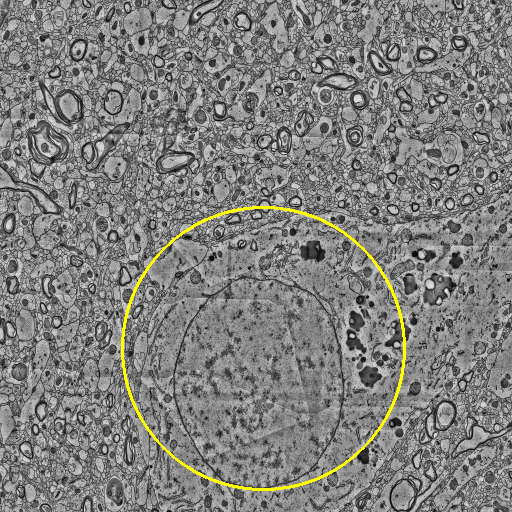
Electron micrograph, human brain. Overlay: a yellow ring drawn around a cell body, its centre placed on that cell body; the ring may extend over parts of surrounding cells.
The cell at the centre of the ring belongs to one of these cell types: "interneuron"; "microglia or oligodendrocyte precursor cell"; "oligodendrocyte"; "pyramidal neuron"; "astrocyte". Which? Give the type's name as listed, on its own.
pyramidal neuron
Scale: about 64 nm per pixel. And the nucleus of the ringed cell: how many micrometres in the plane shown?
Approximately 14 by 11 micrometers in this plane.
